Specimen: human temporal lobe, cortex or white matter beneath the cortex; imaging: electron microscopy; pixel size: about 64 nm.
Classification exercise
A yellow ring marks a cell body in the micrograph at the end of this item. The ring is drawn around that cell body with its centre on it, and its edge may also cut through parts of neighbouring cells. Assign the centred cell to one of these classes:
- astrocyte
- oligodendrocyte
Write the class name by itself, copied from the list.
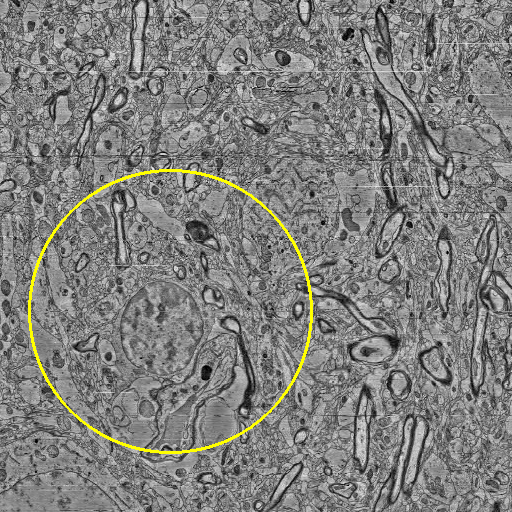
oligodendrocyte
